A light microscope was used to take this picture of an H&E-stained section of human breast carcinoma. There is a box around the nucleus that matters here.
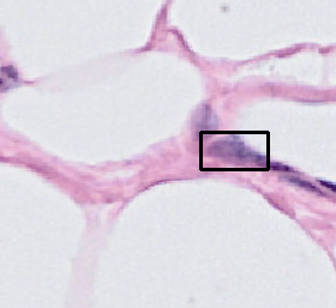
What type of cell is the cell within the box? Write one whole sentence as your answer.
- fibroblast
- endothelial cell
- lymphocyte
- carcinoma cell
The cell within the box is an endothelial cell.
